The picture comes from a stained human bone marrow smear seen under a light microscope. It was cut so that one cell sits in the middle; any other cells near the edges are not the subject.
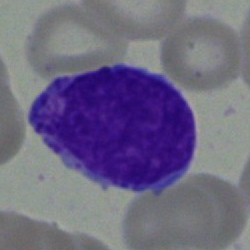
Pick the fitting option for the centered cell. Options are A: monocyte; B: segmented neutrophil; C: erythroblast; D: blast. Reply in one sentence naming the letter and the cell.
The cell in the centre of the crop is a blast, so option D is the correct one.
